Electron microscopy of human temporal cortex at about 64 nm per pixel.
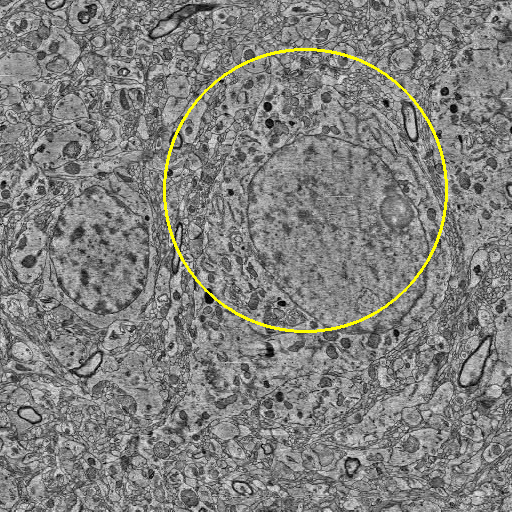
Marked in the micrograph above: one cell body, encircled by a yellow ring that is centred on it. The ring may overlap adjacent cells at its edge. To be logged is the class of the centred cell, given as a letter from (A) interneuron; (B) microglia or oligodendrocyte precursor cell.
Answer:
A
